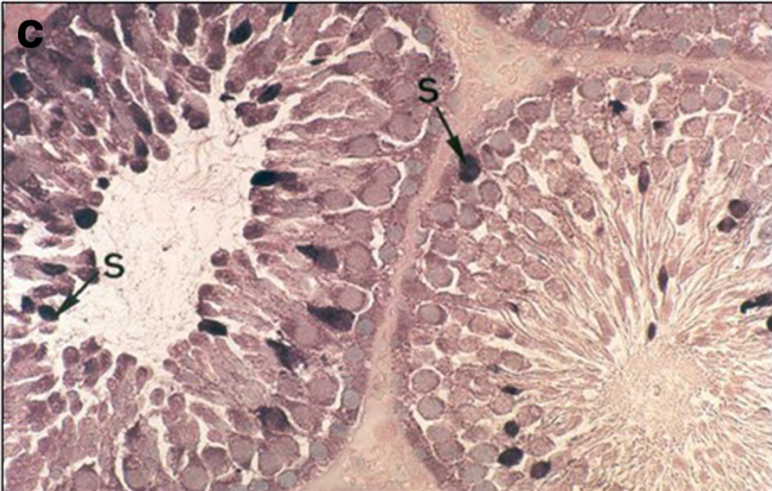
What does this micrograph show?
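Two neighbouring seminiferous tubules cut across, separated by a thin pale interstitial septum. The germinal epithelium is layered: rounded germ cells with pale round nuclei near the base, elongated cells and bundles of sperm tails radiating toward the lumen, which is filled with fine flagella. Scattered among them are many single cells with intensely dark blue-black, rounded or oval nuclei, some close to the basal margin, others along the luminal edge. The epithelium is somewhat loosened, with clefts between cells.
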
